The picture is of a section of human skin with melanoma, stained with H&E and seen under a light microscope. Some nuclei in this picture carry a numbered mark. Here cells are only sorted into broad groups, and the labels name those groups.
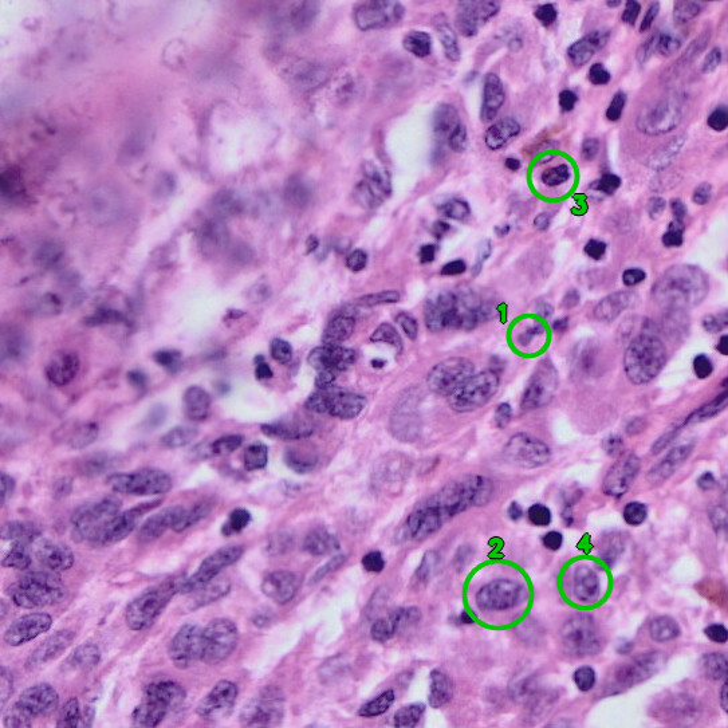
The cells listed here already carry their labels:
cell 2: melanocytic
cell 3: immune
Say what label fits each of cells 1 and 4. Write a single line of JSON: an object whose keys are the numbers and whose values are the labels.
{"1": "immune", "4": "melanocytic"}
